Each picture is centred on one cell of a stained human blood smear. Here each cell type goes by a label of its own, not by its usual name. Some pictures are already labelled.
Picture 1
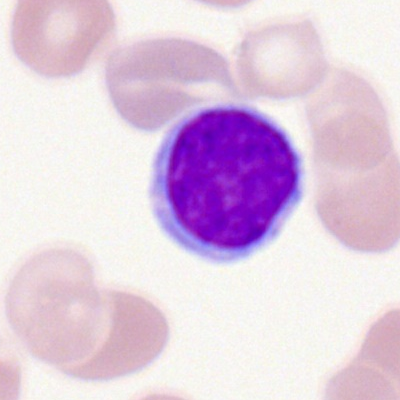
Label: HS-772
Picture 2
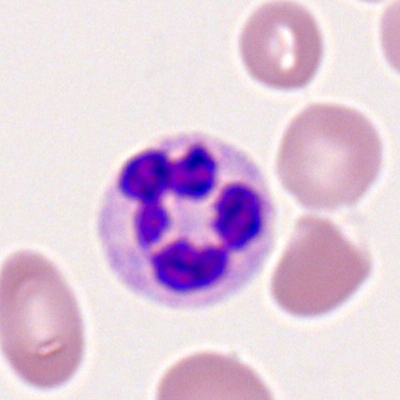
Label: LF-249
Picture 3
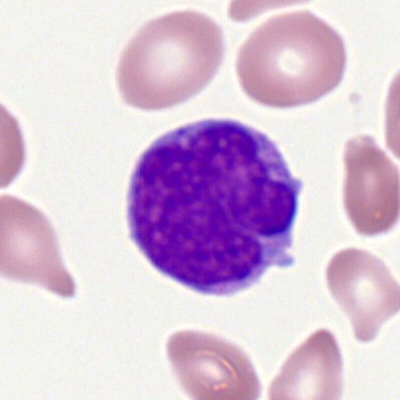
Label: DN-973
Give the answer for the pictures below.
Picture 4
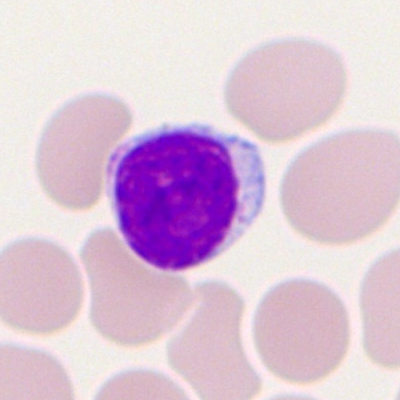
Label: HS-772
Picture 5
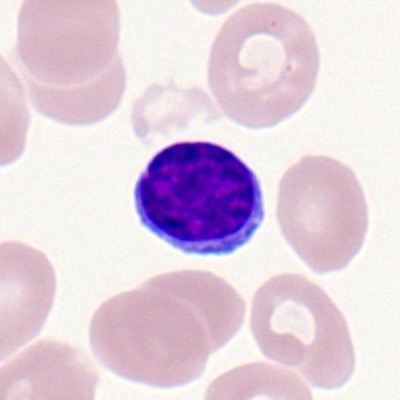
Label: HS-772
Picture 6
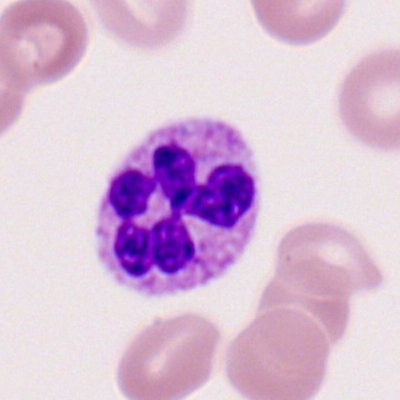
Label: LF-249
